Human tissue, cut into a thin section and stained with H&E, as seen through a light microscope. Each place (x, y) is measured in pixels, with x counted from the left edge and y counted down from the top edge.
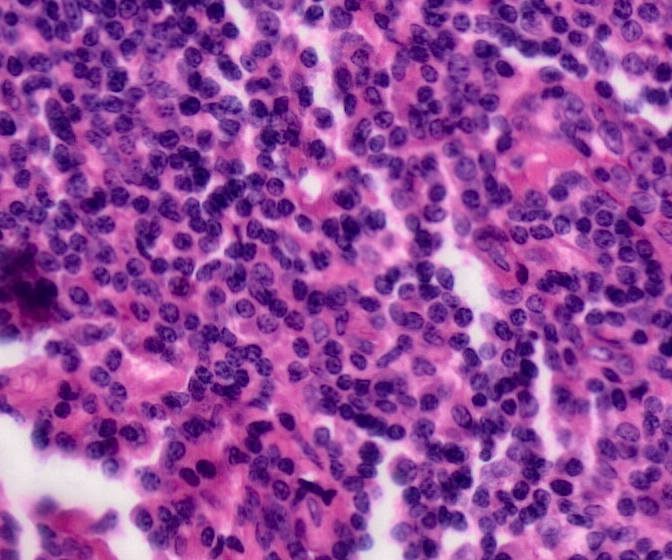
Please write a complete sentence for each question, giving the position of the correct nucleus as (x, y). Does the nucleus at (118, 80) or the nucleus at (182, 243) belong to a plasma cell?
The nucleus of a plasma cell is the one found at (182, 243), not the other.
